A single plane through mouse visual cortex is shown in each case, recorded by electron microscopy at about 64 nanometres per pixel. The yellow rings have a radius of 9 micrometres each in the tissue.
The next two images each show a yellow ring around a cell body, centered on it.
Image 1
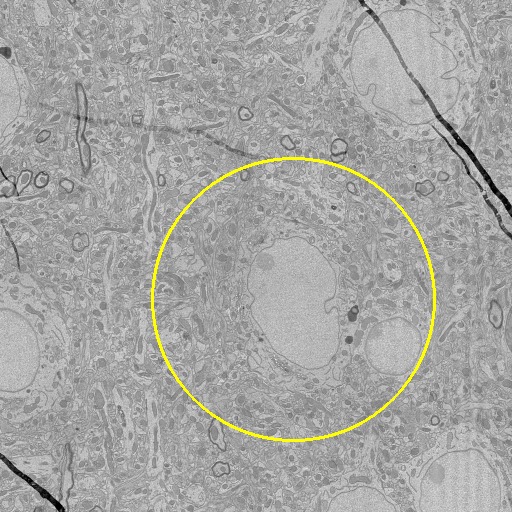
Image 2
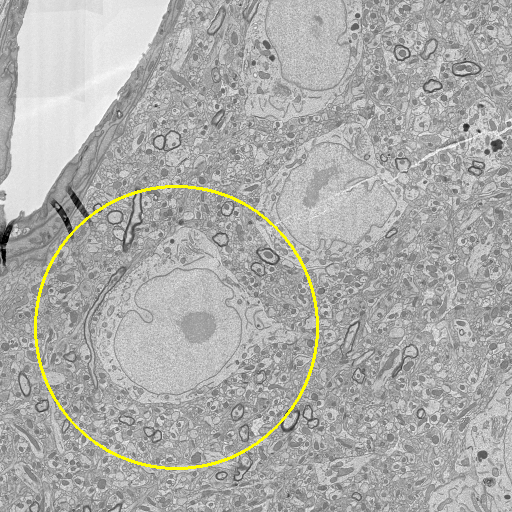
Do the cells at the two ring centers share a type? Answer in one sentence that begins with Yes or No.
Yes, across the two images the cells at the ring centers share one type.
